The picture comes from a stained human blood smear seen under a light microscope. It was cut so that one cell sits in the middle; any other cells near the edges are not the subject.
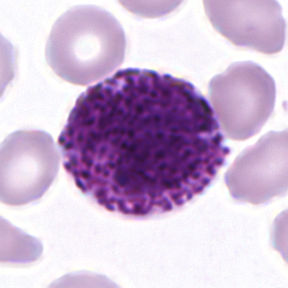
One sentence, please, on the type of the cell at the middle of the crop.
For this crop, the central cell is a basophil.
